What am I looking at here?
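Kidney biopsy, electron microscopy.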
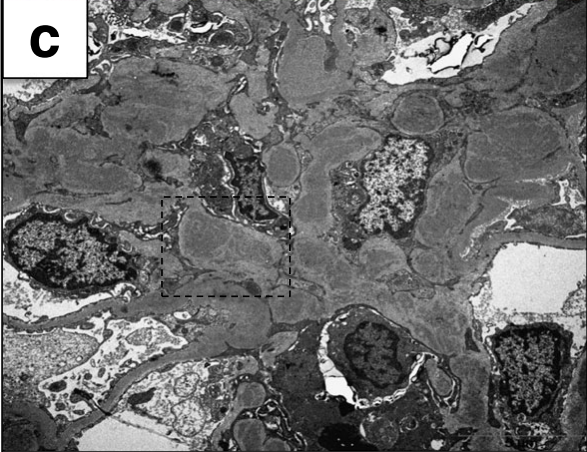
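At low electron-microscopic magnification, several dark nuclei of glomerular cells lie among numerous rounded, uniformly grey, finely granular masses that crowd the space between cells and capillary lumens. These masses are granular deposits spread diffusely through the mesangium.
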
